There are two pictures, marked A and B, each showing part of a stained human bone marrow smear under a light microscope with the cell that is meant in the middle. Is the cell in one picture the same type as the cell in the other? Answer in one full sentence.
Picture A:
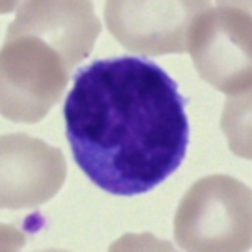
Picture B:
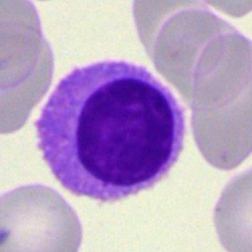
Yes, they are the same type: both are monocytes.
